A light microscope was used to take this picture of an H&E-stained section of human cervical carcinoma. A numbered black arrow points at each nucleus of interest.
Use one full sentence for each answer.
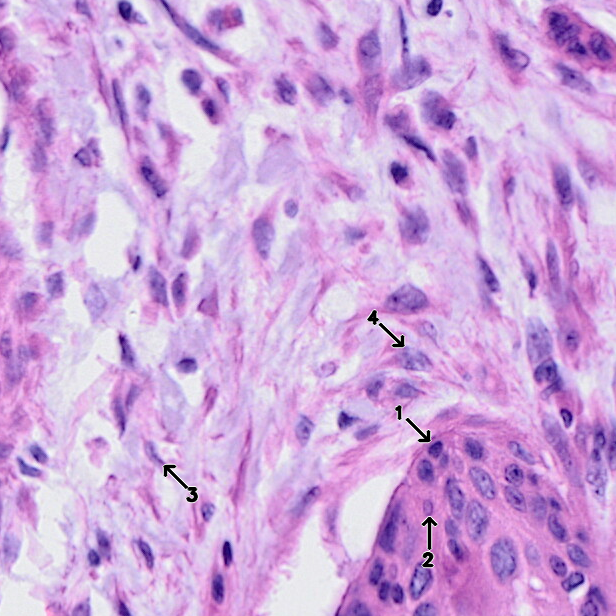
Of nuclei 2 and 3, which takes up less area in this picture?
It is nucleus 2; nucleus 3 has about 2 times its area.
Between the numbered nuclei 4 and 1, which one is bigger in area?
The larger nucleus is 4, at roughly 3 times the area of 1.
